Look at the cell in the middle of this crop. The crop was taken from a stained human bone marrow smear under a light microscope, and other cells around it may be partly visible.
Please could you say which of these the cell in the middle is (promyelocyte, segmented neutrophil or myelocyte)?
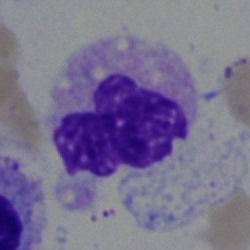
segmented neutrophil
